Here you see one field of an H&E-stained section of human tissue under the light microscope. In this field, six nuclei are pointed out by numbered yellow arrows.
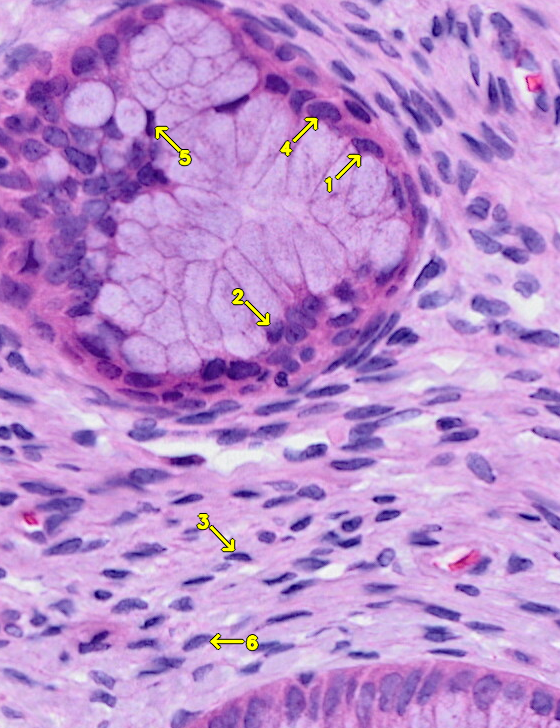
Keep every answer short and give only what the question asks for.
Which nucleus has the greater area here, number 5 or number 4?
4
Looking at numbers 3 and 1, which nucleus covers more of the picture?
1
